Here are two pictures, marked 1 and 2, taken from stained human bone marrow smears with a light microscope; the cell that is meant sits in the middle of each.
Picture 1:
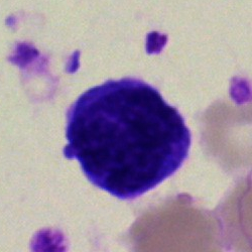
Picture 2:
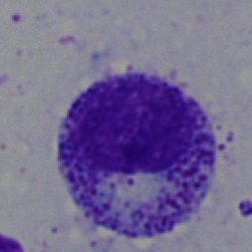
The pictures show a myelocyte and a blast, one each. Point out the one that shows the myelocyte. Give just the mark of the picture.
2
